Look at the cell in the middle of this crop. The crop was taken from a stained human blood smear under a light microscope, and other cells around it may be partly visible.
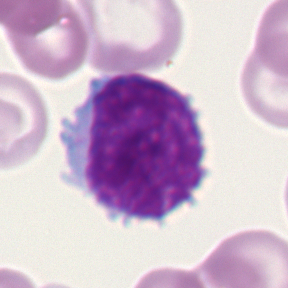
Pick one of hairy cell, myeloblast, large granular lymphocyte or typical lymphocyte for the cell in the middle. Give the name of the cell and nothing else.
myeloblast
